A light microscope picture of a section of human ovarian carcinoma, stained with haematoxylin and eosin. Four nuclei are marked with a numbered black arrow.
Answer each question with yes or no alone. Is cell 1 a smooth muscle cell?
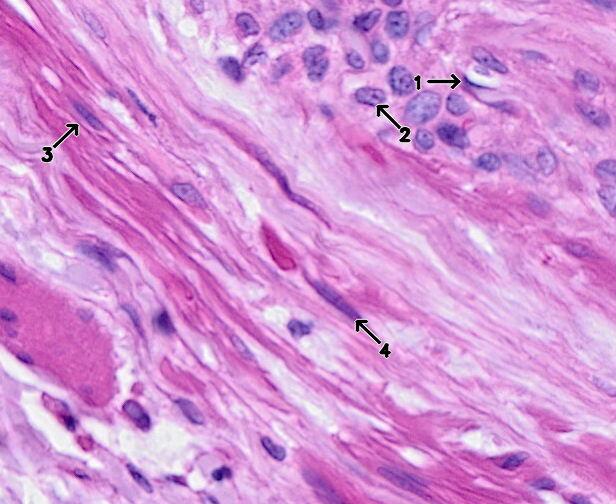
no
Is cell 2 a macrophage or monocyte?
yes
